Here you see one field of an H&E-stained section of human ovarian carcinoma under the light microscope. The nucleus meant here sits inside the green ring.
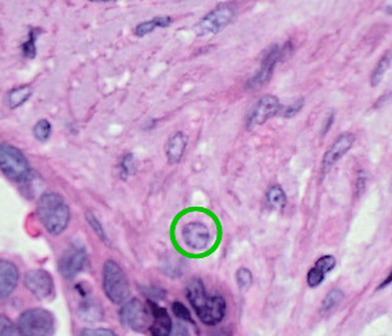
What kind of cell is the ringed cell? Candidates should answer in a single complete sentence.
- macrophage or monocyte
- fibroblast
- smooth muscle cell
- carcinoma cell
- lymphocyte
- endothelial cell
Assigned to a cell type, the ringed cell is a macrophage or monocyte.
